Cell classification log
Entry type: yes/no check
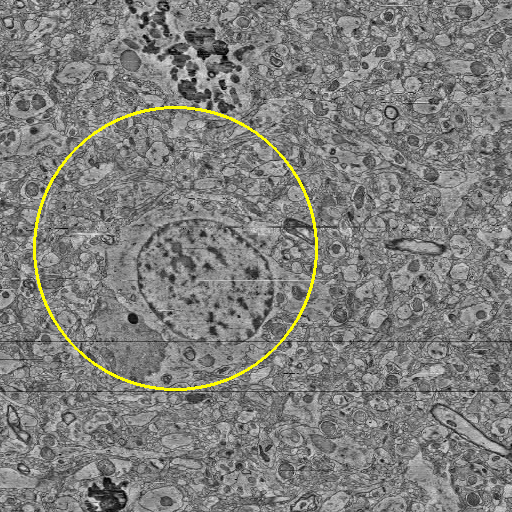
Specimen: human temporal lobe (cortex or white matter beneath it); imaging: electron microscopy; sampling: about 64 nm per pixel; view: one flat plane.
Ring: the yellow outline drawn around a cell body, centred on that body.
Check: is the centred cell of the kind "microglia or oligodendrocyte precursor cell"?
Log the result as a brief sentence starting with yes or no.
No, the cell is of another kind.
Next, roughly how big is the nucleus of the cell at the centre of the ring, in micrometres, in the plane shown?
In this plane, about 9 micrometres in length and 8 in width.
